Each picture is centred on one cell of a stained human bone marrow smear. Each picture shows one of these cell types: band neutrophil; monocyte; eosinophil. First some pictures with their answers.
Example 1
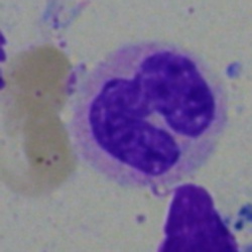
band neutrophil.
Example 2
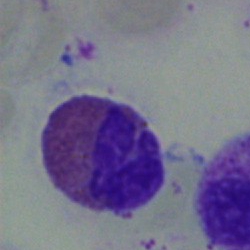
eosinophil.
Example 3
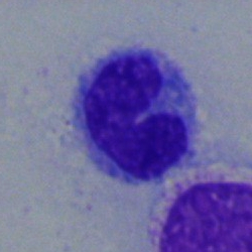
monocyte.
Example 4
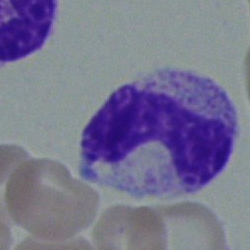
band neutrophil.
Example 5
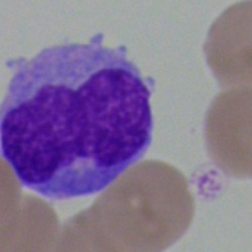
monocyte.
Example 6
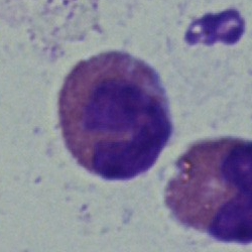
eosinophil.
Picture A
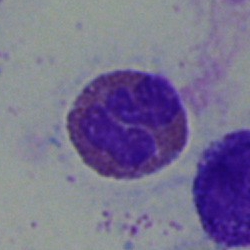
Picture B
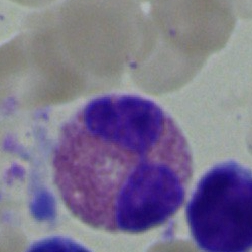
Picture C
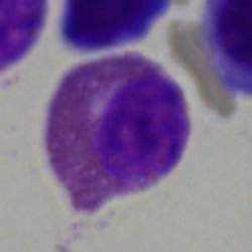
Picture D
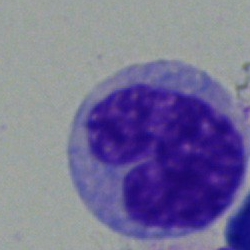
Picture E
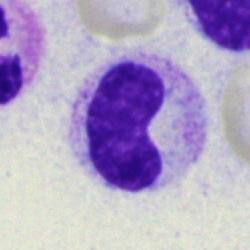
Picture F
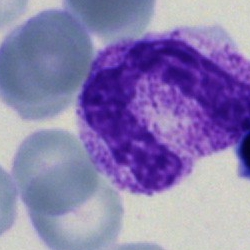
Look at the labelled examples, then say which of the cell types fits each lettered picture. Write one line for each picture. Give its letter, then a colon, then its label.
A: eosinophil.
B: eosinophil.
C: eosinophil.
D: monocyte.
E: band neutrophil.
F: band neutrophil.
